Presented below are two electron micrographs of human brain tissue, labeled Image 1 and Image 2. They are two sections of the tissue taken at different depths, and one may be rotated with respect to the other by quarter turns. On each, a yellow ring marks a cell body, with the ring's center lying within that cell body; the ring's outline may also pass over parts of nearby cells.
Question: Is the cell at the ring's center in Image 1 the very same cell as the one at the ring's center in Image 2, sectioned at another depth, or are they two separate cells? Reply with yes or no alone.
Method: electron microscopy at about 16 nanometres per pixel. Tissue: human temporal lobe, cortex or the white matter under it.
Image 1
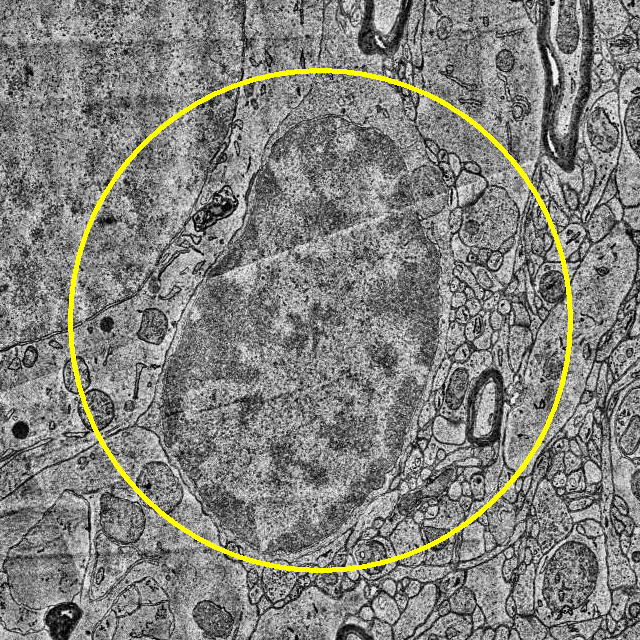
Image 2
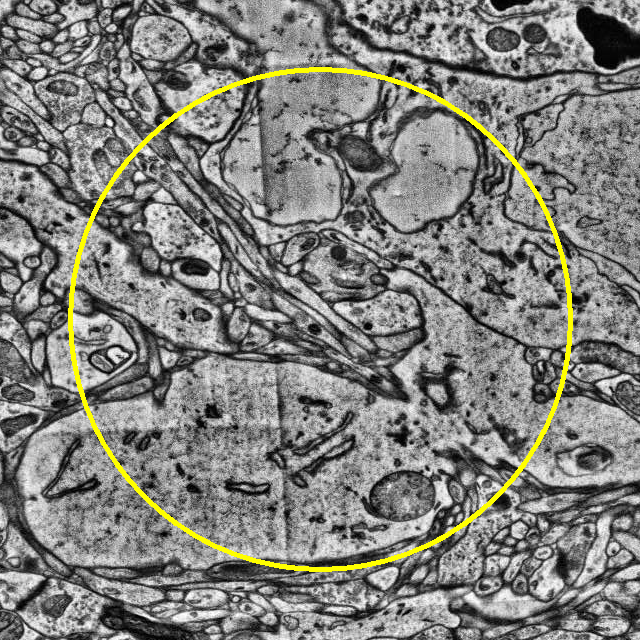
no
